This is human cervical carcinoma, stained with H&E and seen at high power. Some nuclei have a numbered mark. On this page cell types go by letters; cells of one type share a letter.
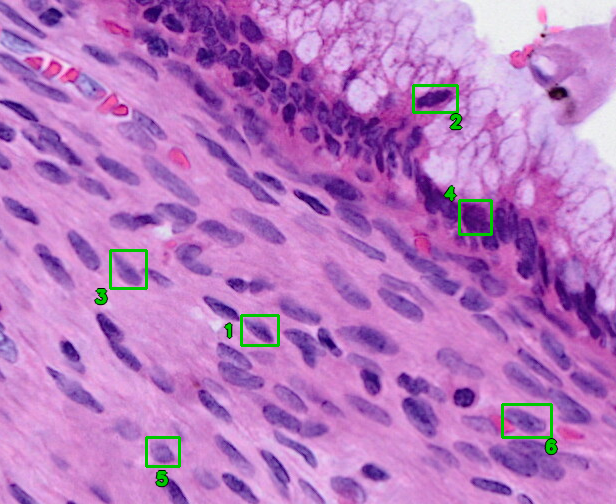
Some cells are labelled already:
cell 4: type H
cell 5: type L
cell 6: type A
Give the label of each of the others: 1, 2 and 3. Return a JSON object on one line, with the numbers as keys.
{"1": "type L", "2": "type H", "3": "type L"}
